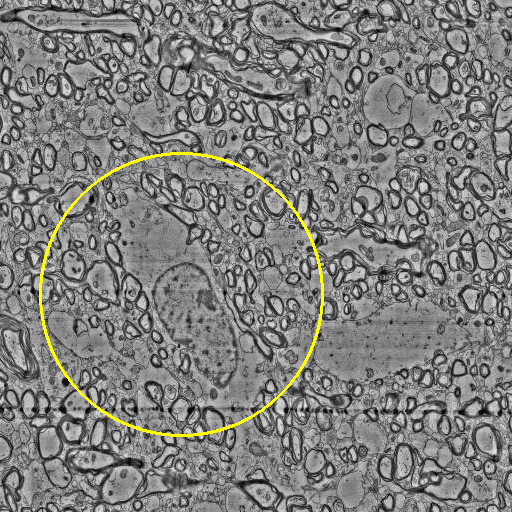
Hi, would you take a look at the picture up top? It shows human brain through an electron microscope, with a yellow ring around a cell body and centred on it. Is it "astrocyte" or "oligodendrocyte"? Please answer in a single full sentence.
The best fit for the cell in the middle of the ring is an astrocyte, I reckon.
